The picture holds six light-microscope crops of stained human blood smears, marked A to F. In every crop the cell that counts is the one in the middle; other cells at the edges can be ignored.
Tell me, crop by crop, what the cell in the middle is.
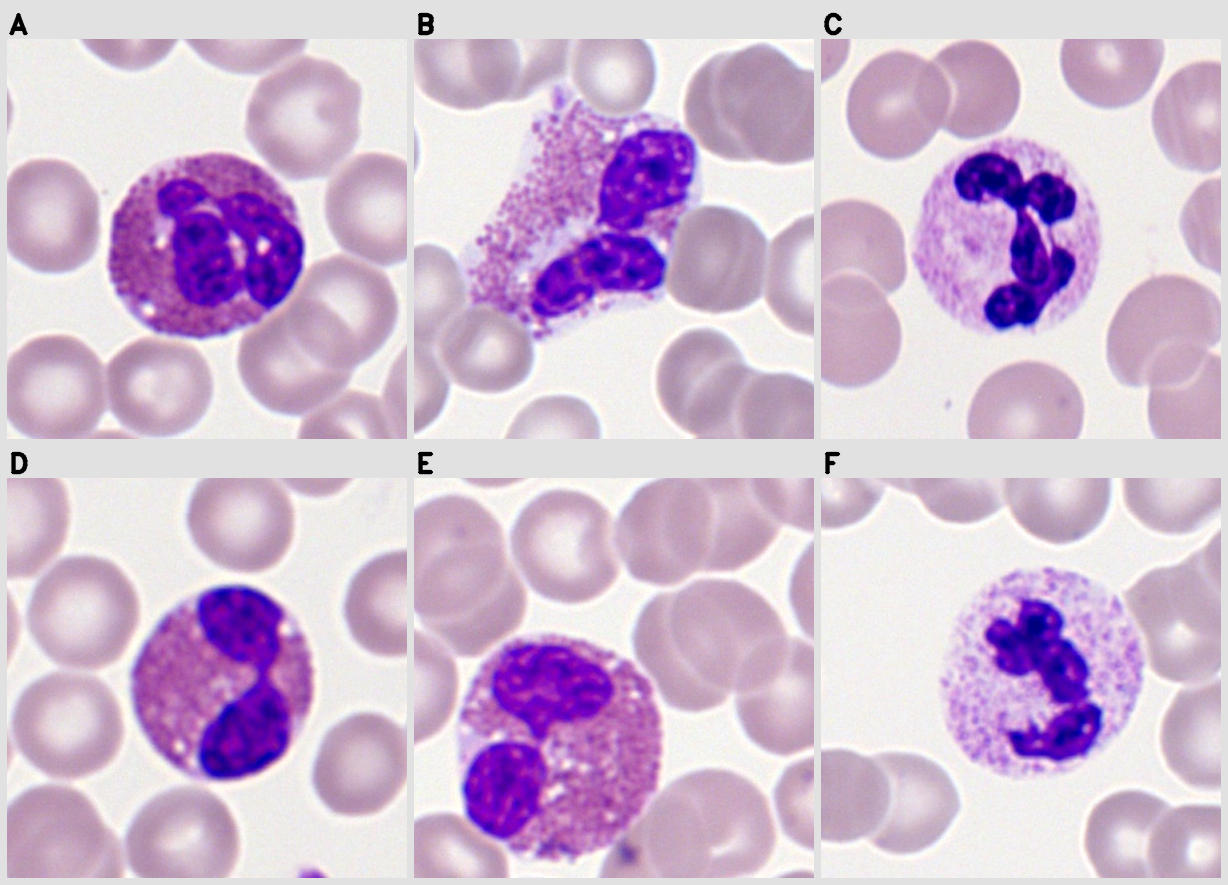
A: eosinophil
B: eosinophil
C: segmented neutrophil
D: eosinophil
E: eosinophil
F: segmented neutrophil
